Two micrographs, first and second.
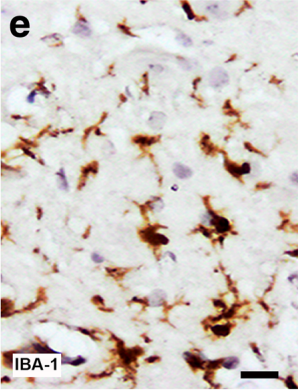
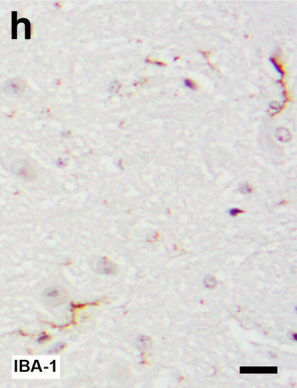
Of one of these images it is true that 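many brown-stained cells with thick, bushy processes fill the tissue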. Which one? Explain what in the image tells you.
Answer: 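Second image: only a few faint, thin brown processes in pale tissue. First image: numerous dark brown cells with thick, branched processes.
Conclusion: the first image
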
